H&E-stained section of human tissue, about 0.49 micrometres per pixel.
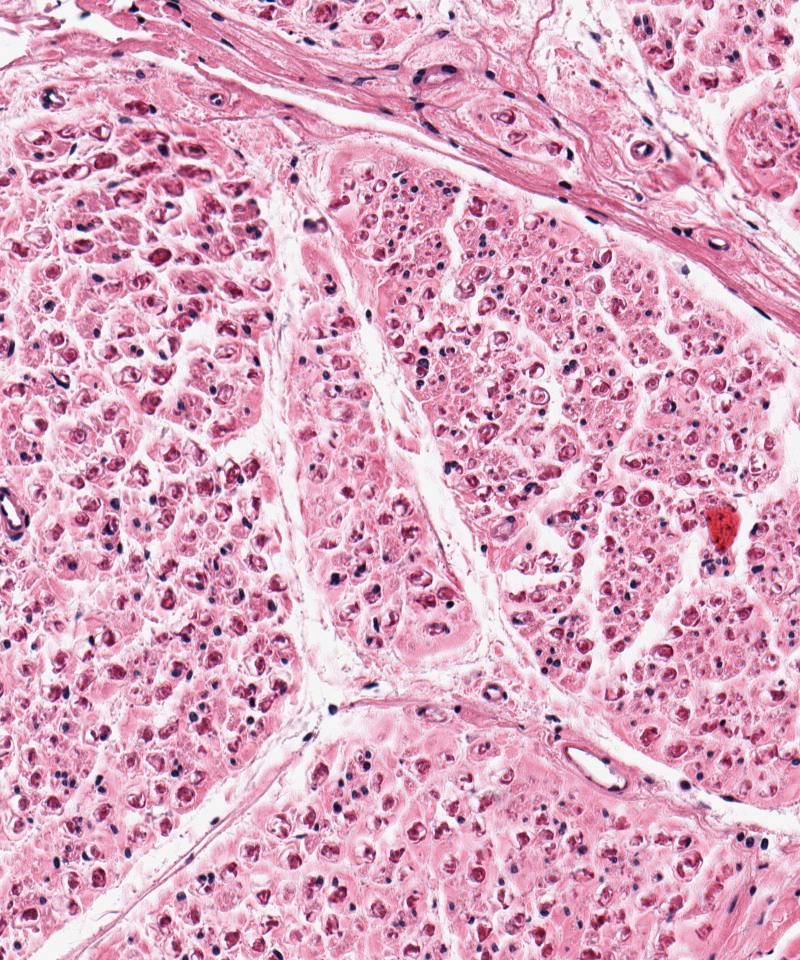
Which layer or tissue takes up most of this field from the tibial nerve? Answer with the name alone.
nerve fascicle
